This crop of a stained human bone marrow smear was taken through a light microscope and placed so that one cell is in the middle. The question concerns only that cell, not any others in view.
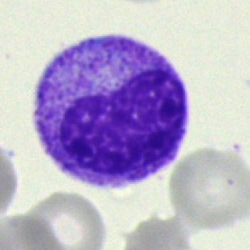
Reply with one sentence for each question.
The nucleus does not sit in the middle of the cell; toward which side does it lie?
The nucleus is pushed toward the lower right of the cell.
